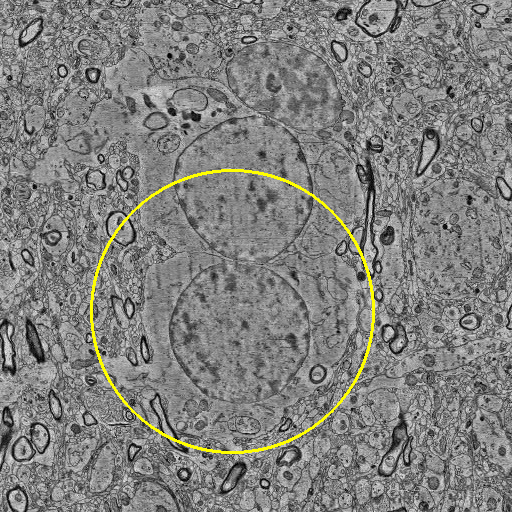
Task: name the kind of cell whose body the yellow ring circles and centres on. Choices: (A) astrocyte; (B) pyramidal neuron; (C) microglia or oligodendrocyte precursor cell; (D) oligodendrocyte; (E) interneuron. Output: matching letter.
A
